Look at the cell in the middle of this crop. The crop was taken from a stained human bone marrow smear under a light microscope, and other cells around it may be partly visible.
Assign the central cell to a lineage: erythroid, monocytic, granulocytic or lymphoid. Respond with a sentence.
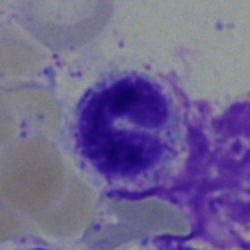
Among the lineages, the granulocytic one is that of the central cell.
